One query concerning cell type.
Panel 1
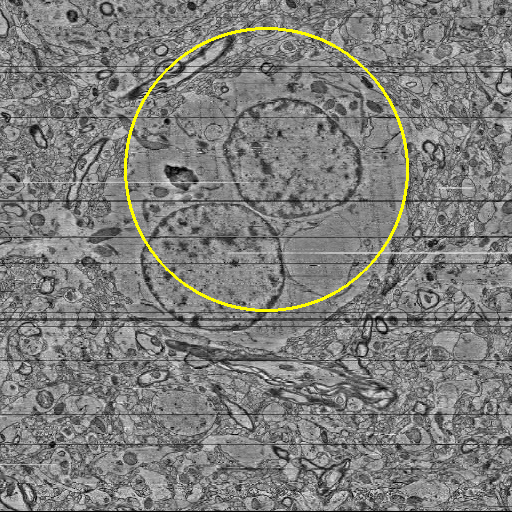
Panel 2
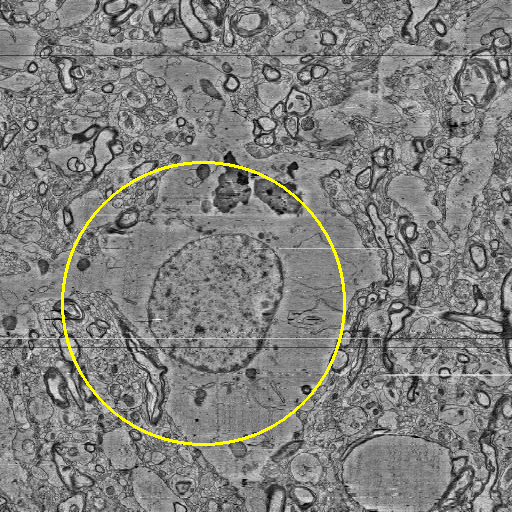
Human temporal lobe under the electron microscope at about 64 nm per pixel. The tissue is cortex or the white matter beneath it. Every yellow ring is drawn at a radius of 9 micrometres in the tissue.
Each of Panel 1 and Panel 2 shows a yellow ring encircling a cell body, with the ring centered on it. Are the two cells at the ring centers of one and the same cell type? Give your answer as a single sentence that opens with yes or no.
Yes, the cell centered in Panel 1 and the one in Panel 2 share a type.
